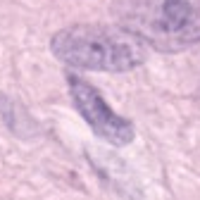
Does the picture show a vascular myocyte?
Yes.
